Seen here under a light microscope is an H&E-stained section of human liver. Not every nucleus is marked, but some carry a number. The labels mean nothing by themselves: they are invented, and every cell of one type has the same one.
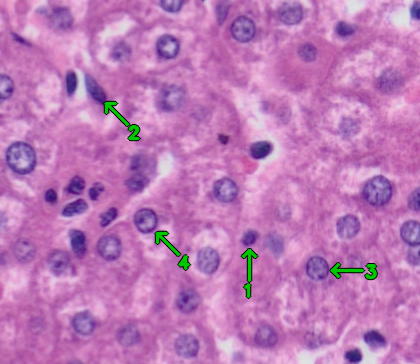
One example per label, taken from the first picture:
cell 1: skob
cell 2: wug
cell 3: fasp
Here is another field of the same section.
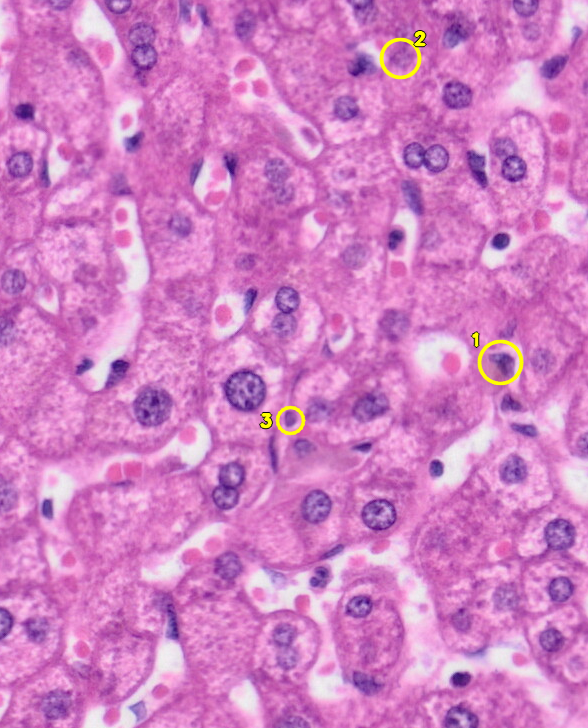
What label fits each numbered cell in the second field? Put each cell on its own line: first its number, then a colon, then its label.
1: wug
2: fasp
3: skob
